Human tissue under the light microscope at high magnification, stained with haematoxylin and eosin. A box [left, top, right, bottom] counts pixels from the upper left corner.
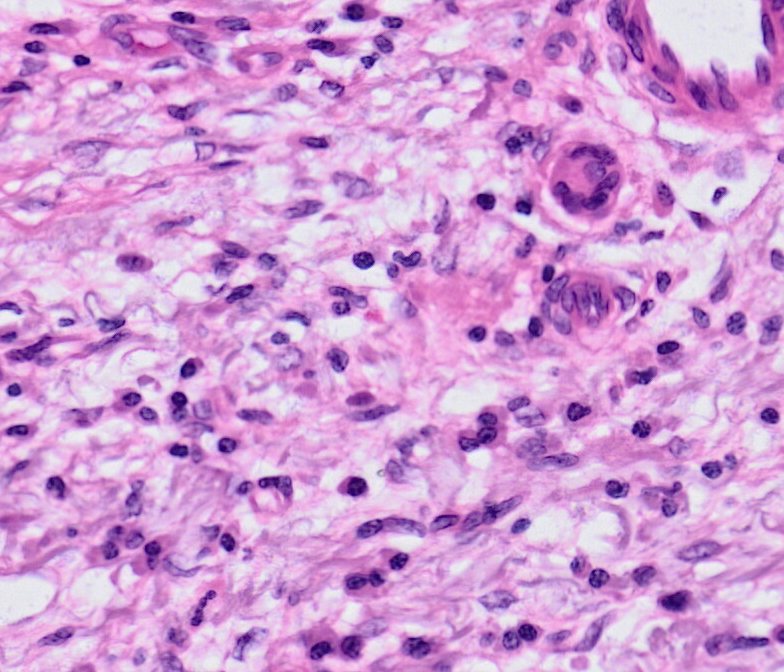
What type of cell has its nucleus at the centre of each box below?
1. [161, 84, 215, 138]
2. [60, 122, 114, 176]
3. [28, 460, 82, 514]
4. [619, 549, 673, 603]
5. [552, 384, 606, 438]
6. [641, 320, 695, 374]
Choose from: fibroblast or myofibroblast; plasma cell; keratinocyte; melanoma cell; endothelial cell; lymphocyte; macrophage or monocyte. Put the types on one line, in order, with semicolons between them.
macrophage or monocyte; fibroblast or myofibroblast; plasma cell; macrophage or monocyte; plasma cell; plasma cell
